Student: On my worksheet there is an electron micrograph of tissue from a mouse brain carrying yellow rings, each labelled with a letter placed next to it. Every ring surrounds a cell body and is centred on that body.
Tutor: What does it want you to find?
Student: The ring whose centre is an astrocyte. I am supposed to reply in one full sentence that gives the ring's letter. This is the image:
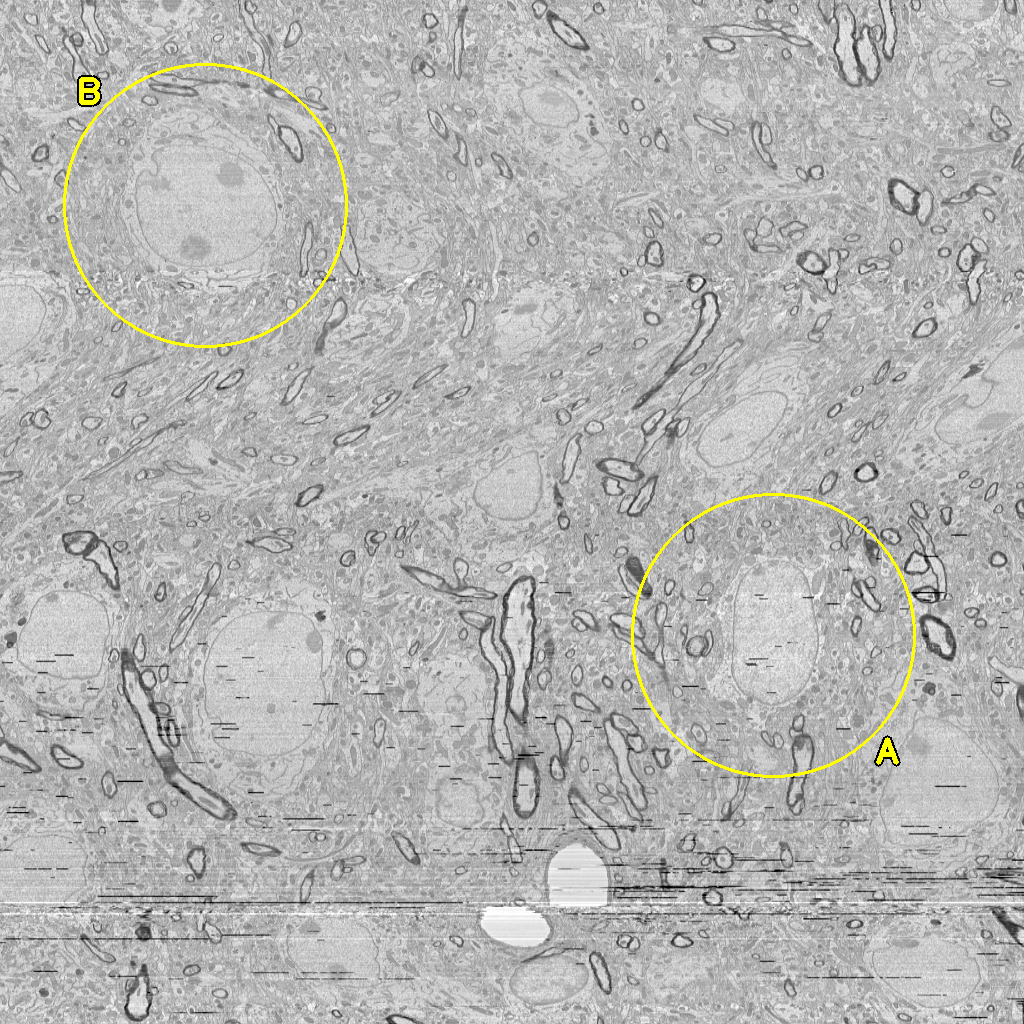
The cell asked for, shown in the picture, lies at the centre of ring A.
